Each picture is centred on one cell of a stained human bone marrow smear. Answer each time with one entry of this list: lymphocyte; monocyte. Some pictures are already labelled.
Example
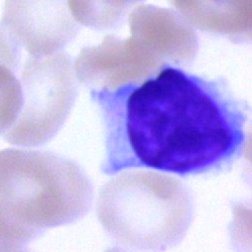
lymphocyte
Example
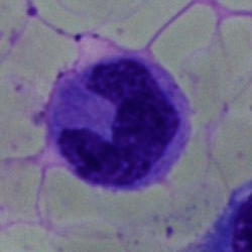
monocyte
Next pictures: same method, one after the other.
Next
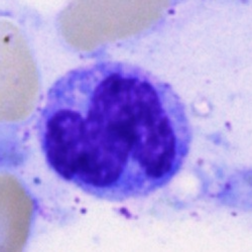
monocyte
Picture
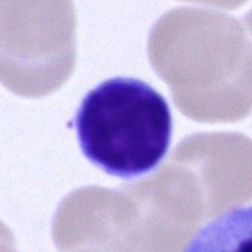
lymphocyte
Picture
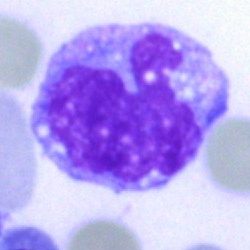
monocyte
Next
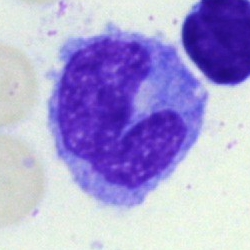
monocyte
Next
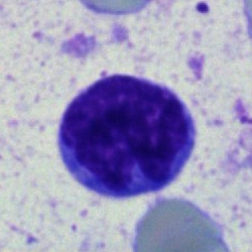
lymphocyte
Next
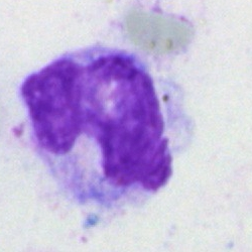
monocyte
